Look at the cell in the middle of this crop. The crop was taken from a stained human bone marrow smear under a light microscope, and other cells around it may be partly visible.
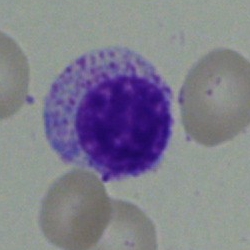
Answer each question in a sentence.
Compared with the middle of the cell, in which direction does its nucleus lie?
The nucleus is pushed toward the lower right of the cell.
